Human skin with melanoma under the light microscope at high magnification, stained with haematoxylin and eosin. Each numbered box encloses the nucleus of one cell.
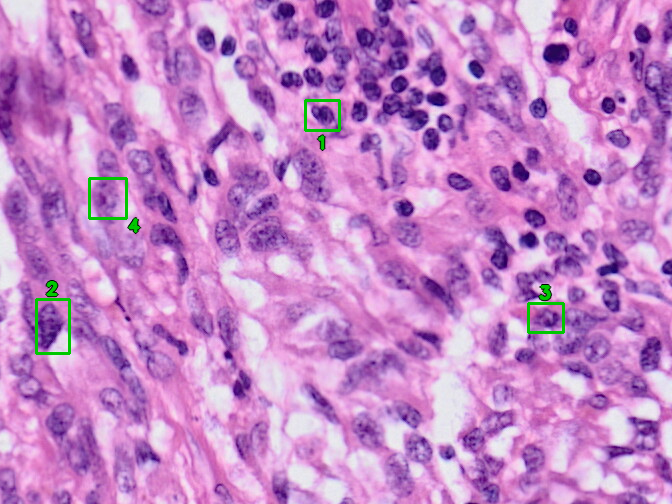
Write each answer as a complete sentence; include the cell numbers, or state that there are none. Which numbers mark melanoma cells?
The cells numbered 2, 3 and 4 fall into the category of melanoma cells.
